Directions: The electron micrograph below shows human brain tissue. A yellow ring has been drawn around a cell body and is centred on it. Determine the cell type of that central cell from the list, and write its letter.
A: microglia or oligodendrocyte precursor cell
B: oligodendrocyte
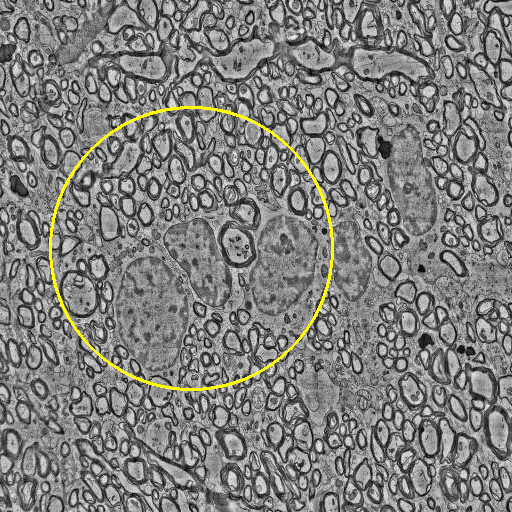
A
